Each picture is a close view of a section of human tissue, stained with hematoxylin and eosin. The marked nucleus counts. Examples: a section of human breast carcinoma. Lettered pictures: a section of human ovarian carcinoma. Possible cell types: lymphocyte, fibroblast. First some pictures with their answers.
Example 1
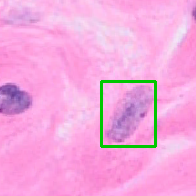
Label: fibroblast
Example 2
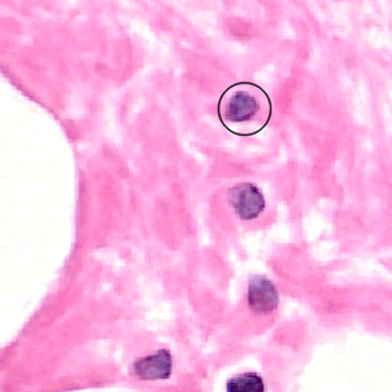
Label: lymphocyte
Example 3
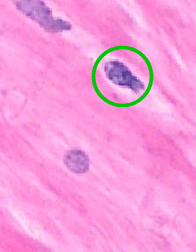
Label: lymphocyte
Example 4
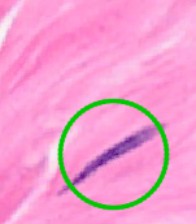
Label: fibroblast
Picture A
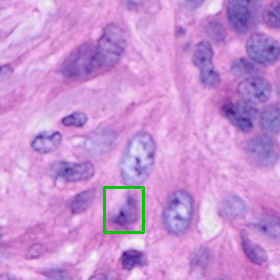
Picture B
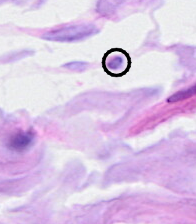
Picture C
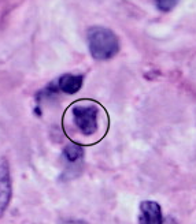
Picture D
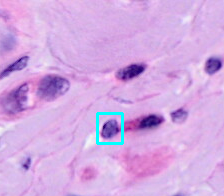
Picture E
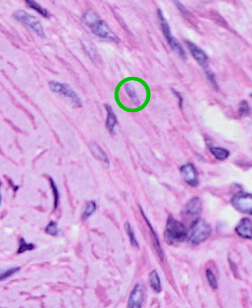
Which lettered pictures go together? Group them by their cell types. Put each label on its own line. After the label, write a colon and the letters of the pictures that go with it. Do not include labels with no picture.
lymphocyte: B, C, D
fibroblast: A, E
